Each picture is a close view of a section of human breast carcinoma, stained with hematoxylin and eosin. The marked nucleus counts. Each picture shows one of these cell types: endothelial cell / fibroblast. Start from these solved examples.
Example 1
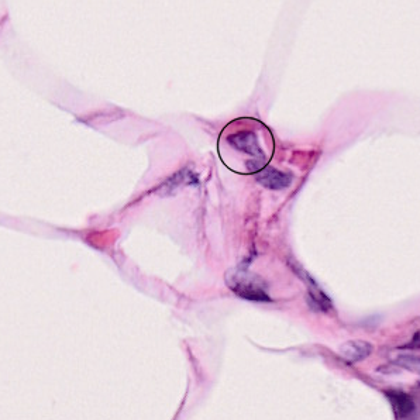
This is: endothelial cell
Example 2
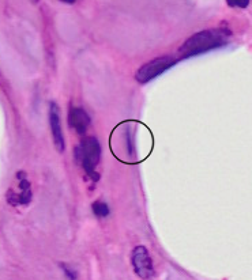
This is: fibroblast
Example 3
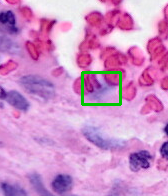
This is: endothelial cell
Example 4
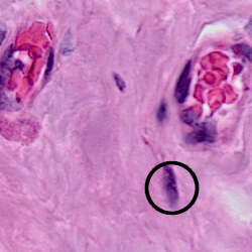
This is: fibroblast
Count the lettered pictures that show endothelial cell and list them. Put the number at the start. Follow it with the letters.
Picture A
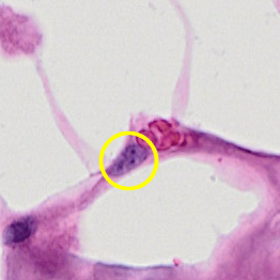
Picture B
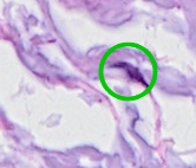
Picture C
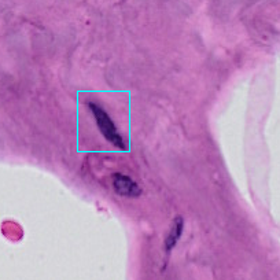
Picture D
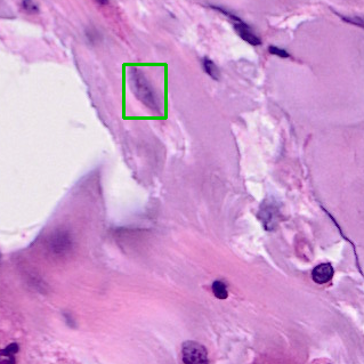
1: A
